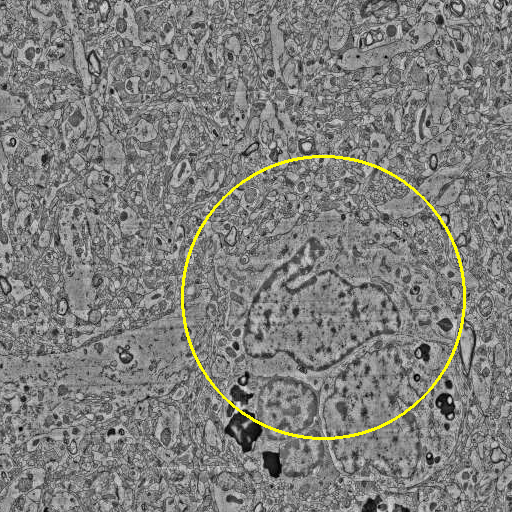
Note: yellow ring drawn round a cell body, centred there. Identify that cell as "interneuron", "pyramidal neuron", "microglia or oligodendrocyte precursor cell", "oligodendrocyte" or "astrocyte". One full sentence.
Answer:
The cell in the middle of the ring is a microglial cell or oligodendrocyte precursor cell.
